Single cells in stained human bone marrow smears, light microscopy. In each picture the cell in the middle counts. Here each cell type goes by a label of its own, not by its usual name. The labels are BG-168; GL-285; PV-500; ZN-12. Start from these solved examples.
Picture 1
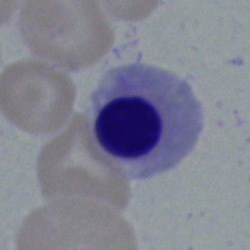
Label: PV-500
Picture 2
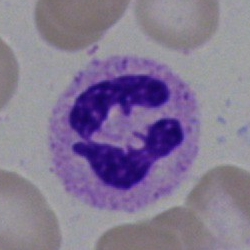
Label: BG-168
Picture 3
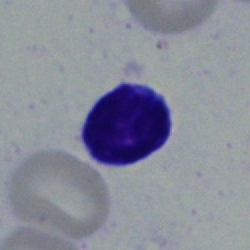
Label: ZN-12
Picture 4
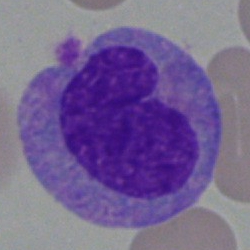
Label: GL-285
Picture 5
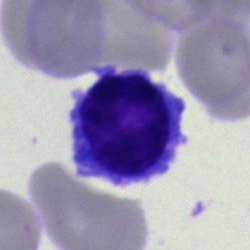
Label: ZN-12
